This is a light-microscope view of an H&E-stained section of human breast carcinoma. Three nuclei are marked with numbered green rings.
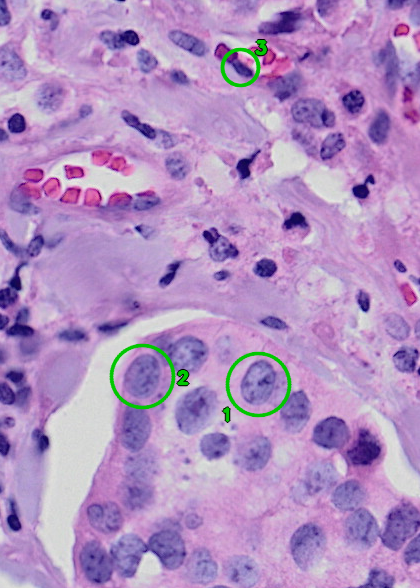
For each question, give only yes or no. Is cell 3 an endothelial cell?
yes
